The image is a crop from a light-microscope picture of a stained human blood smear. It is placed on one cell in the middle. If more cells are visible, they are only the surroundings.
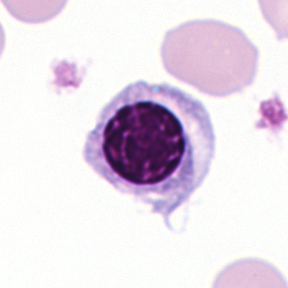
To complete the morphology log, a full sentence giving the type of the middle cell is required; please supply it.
The cell under consideration, at the middle of the crop, is an erythroblast.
